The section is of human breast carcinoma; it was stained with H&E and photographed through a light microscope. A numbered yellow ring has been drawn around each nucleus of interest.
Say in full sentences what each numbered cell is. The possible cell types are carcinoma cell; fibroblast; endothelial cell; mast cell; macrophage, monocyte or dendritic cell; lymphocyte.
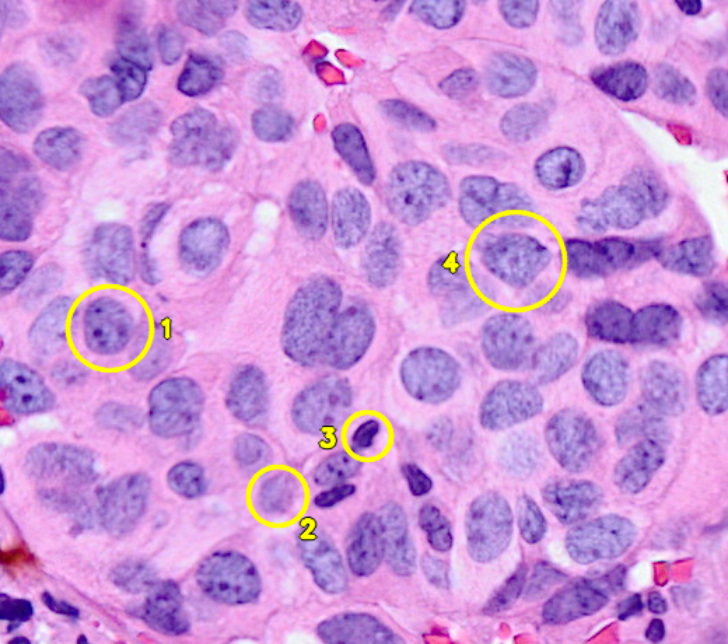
Cell 1 is a carcinoma cell, cell 2 is a carcinoma cell, cell 3 is a lymphocyte and cell 4 is a carcinoma cell.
